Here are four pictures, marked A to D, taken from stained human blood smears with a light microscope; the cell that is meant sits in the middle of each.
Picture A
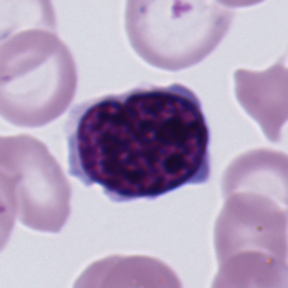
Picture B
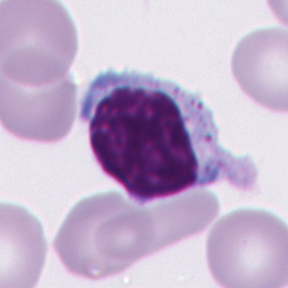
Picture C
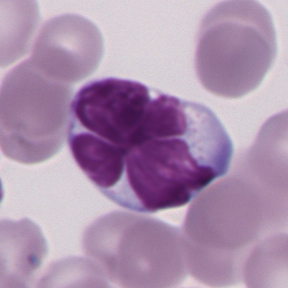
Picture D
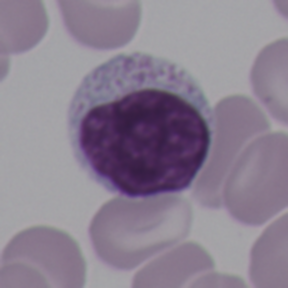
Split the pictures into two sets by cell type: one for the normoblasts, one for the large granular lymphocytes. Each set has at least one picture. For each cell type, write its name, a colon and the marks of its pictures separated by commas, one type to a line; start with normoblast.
normoblast: A
large granular lymphocyte: B, C, D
